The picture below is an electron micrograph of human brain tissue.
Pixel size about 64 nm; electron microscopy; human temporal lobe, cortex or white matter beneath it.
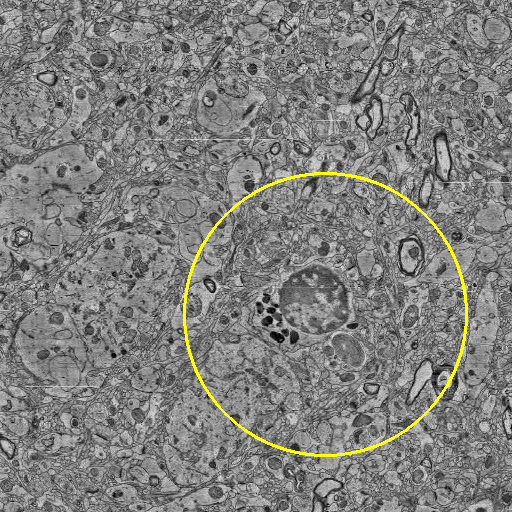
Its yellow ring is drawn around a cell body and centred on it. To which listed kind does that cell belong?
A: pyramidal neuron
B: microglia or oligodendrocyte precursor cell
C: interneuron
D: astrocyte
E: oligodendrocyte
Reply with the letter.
B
